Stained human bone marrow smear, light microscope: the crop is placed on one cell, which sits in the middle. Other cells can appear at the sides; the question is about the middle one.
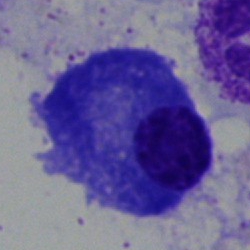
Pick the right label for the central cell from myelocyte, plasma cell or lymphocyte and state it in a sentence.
The cell at the middle of the crop is recognized as a plasma cell.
